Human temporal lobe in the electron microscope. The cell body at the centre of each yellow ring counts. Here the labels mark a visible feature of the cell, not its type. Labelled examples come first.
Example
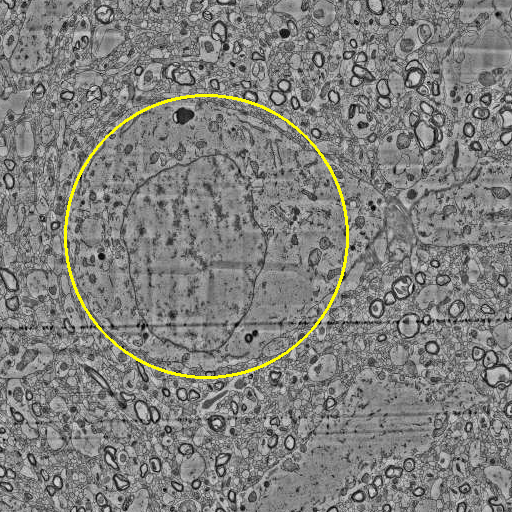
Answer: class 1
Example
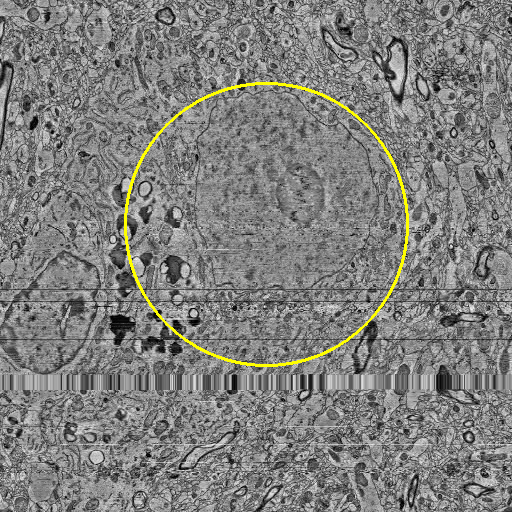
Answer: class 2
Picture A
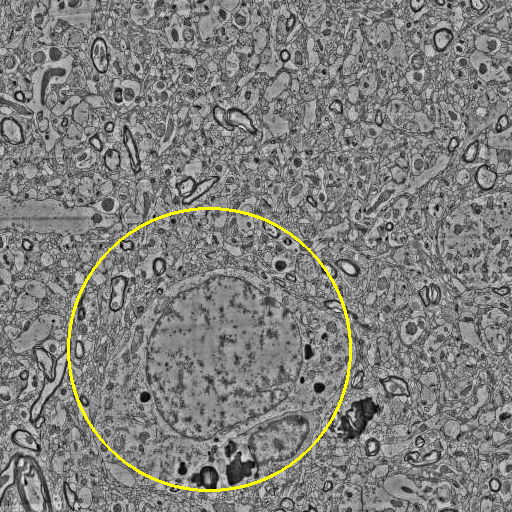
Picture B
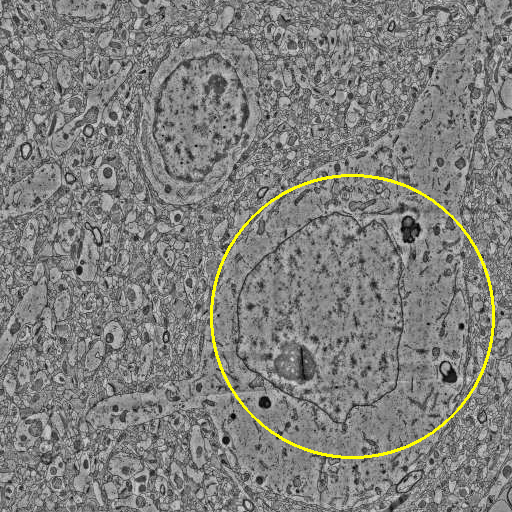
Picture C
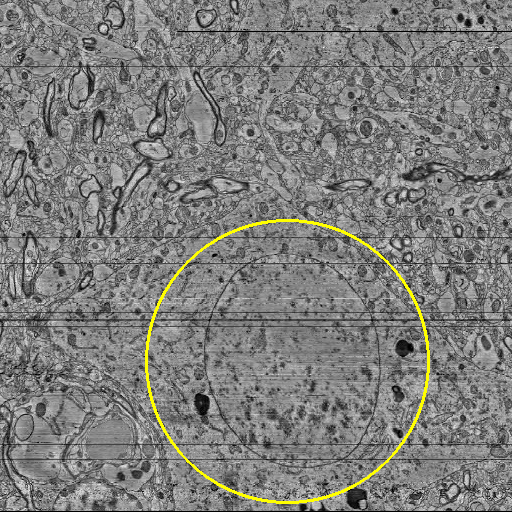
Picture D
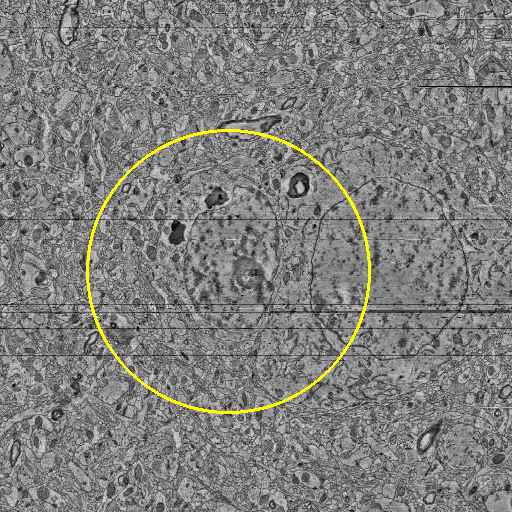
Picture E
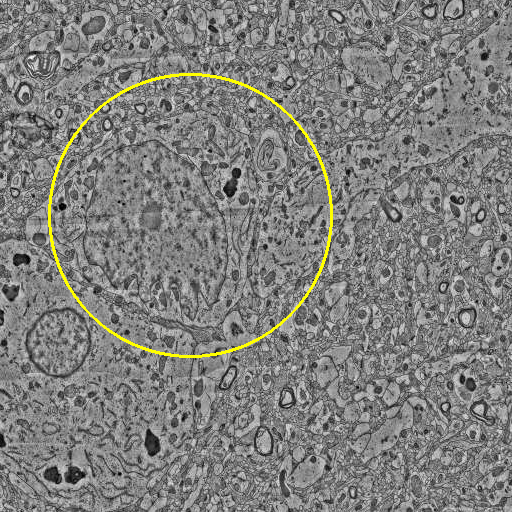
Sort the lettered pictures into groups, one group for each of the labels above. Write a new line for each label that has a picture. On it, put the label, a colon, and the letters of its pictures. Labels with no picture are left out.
class 1: A, C
class 2: B, D, E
